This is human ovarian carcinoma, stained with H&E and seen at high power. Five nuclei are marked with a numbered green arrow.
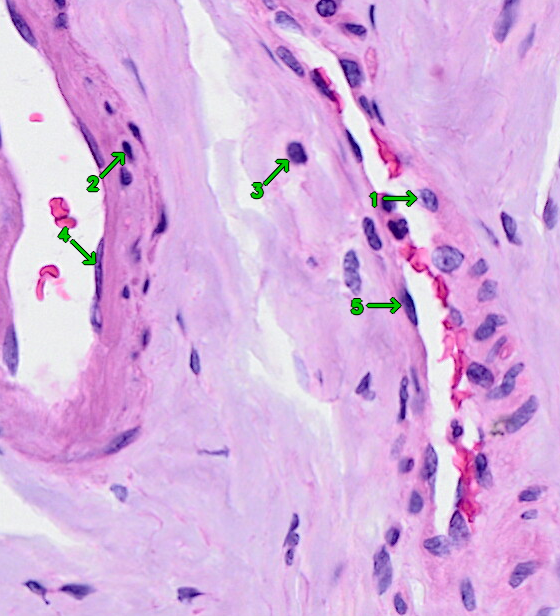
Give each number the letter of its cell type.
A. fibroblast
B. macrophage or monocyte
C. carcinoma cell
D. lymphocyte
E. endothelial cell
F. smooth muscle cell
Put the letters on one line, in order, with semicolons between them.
E; F; D; E; E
